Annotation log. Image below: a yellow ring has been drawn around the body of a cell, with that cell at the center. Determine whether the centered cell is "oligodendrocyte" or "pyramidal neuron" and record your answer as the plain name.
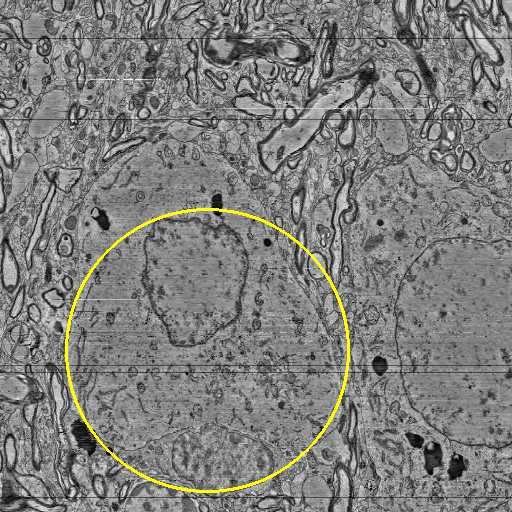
pyramidal neuron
